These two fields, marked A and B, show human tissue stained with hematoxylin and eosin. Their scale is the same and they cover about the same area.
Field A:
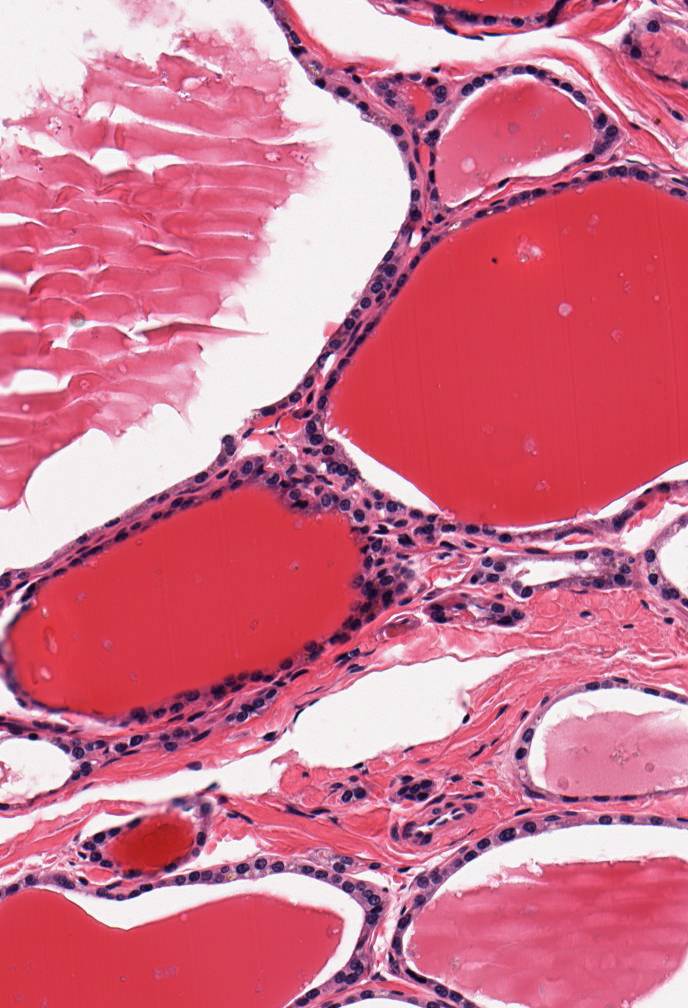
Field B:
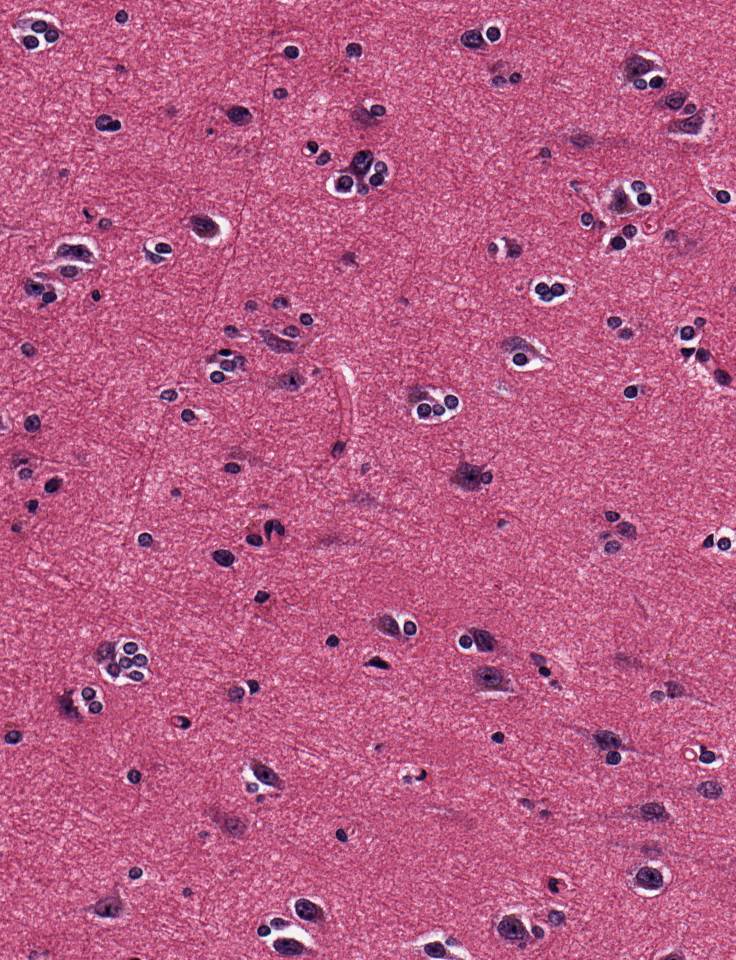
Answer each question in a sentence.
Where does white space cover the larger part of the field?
More of field A is empty and white.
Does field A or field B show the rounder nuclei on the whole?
On the whole the nuclei of field B are rounder than those of field A.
